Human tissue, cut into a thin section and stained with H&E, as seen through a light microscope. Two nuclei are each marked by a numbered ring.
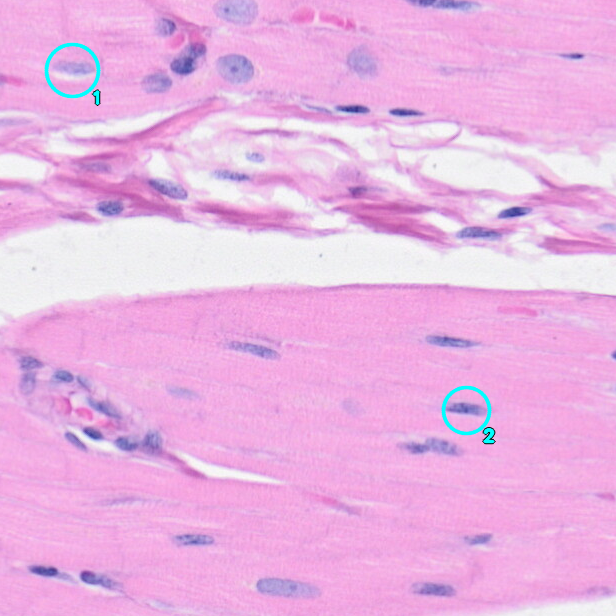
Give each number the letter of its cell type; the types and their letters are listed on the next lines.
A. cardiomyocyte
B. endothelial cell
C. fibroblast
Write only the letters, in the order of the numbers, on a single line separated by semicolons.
A; B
